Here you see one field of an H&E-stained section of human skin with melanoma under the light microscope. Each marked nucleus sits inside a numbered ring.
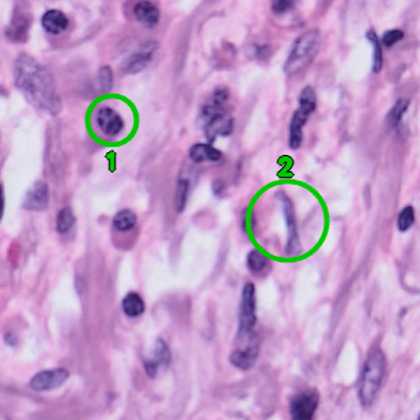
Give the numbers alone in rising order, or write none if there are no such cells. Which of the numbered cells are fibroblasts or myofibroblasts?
2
